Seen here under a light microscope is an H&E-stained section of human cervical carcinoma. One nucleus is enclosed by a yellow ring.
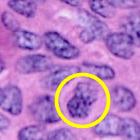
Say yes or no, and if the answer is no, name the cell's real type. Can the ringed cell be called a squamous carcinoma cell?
Yes.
